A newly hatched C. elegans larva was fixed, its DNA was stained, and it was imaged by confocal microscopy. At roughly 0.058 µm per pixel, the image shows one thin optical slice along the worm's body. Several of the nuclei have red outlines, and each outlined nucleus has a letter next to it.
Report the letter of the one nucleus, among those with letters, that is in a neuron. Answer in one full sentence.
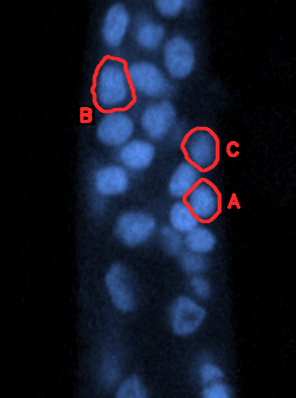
Nucleus A belongs to a neuron.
